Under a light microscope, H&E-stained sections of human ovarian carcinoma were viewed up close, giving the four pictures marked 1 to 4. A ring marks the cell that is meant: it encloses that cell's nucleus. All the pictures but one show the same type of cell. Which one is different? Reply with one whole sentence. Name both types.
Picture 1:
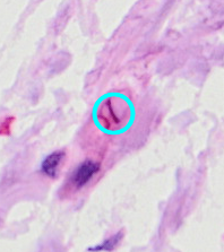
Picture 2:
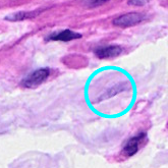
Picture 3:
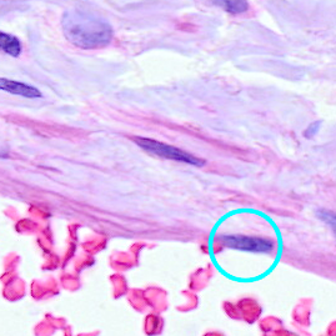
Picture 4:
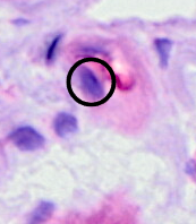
The different one is picture 2; it shows a fibroblast, whereas all the others show endothelial cells.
